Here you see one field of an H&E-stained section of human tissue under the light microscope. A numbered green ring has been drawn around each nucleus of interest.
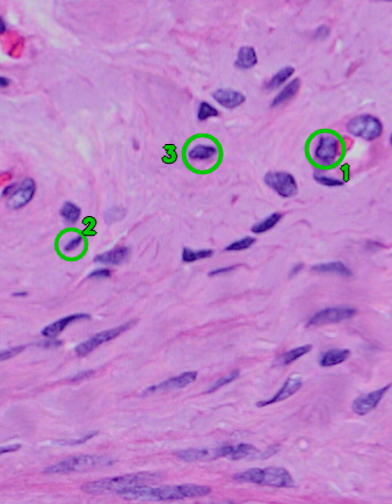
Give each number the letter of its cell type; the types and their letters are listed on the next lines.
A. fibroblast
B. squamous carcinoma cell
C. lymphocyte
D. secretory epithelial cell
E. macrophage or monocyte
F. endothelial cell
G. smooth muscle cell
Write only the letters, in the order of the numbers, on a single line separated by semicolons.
F; A; A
